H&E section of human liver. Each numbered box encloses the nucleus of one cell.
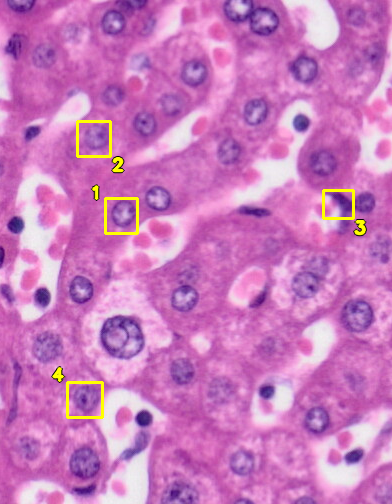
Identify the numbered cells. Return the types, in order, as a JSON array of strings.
["hepatocyte", "hepatocyte", "fibroblast or stellate cell", "hepatocyte"]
